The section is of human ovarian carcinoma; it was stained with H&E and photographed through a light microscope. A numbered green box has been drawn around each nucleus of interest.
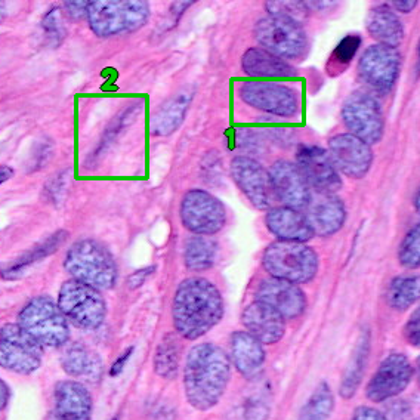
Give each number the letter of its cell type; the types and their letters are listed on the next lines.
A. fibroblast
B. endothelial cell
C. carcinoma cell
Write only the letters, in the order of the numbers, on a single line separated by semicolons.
C; A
